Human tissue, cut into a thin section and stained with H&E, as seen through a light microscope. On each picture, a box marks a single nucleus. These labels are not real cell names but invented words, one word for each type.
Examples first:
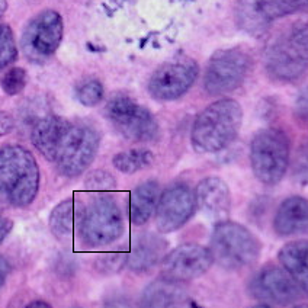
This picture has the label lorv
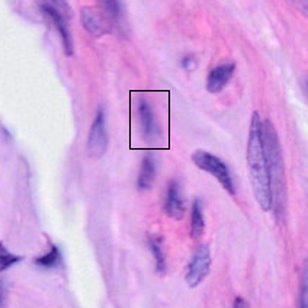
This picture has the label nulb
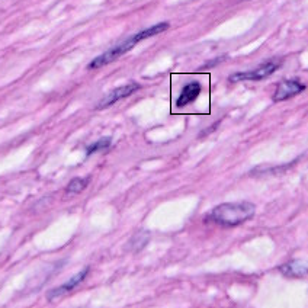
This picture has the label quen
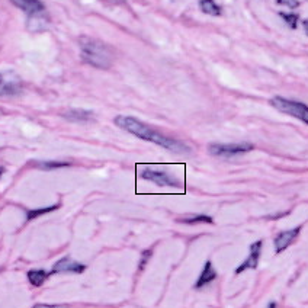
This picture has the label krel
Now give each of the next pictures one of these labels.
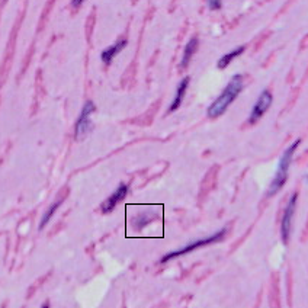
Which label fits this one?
krel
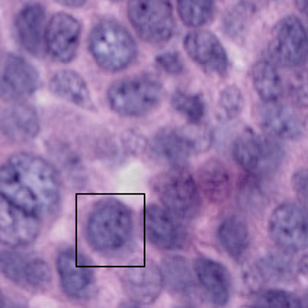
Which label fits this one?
lorv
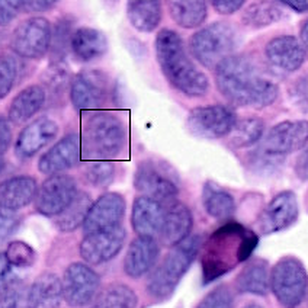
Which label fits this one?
lorv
